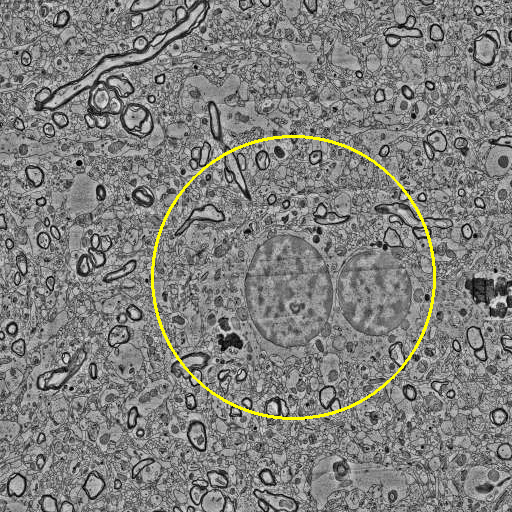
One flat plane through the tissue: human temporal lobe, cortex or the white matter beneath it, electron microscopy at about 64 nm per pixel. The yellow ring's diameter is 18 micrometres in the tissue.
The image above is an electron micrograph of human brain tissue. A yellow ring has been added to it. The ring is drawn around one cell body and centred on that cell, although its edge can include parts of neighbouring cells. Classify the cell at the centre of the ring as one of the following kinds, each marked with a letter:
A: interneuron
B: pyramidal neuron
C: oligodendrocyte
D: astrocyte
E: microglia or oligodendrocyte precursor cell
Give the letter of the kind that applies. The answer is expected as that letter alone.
C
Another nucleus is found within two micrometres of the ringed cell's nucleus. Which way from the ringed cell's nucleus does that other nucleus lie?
The second nucleus sits to the right of it.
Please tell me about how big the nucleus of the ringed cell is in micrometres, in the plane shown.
The nucleus is approximately 7 micrometers long by 6 micrometers wide in this plane.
